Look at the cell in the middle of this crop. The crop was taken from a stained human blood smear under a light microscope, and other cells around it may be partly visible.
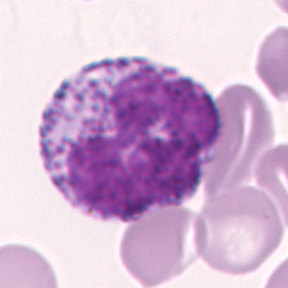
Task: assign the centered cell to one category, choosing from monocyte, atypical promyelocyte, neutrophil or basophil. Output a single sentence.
The cell at the middle of the frame should be recorded as a basophil.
